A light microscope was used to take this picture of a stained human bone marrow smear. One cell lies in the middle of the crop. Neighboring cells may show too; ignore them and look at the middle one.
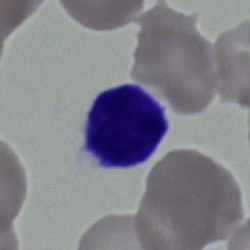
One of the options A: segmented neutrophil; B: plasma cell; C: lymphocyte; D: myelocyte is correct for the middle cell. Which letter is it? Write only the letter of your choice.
C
